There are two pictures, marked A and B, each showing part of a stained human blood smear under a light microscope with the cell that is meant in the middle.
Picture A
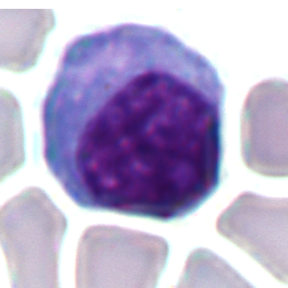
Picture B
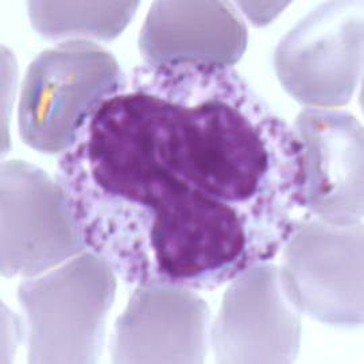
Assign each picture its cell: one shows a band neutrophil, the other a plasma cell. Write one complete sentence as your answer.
Picture A shows a plasma cell and picture B shows a band neutrophil.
